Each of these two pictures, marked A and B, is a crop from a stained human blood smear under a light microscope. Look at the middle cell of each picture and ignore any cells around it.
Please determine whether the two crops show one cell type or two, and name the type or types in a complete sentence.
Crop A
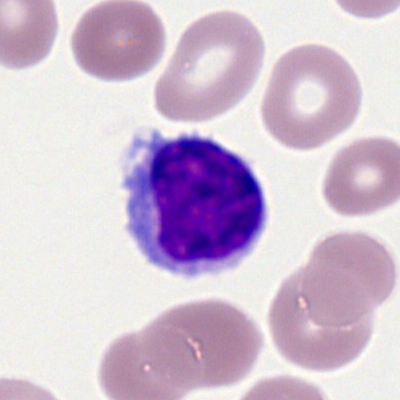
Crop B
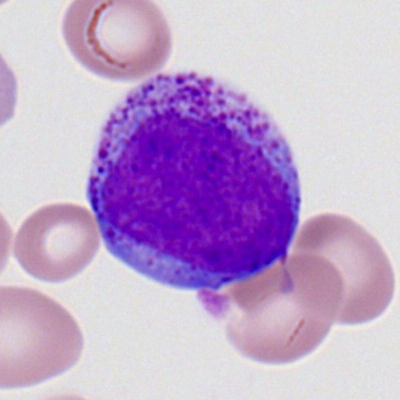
No, crop A holds a lymphocyte, and a blast occupies crop B.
